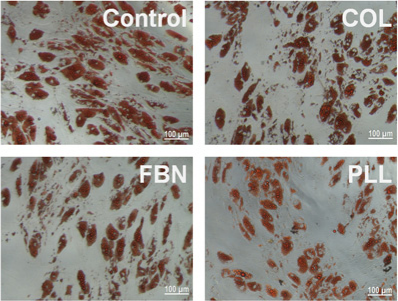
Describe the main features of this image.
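Four fields show many oval to spindle-shaped cells whose cytoplasm is crowded with small red-stained droplets, lying scattered over a pale grey, unstained background. The droplets fill most of each cell body, giving each cell a granular red appearance, and the cells lie singly or in loose groups.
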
